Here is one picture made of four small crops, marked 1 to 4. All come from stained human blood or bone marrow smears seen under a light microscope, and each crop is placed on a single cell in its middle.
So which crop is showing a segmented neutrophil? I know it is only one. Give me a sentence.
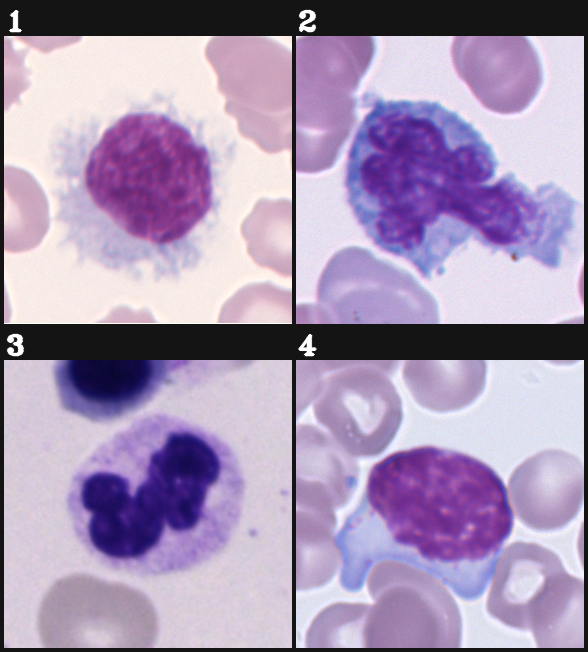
Among these crops, crop 3 holds a segmented neutrophil.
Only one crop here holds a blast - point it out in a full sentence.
Crop 4 is the crop that shows a blast in its middle.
